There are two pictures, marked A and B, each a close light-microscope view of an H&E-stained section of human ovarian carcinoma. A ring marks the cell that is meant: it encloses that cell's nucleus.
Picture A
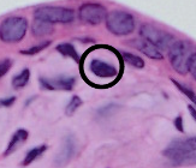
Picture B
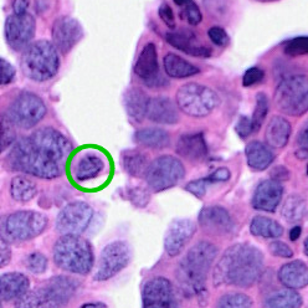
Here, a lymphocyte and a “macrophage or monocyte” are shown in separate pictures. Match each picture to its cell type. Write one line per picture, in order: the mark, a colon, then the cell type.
A: lymphocyte
B: macrophage or monocyte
